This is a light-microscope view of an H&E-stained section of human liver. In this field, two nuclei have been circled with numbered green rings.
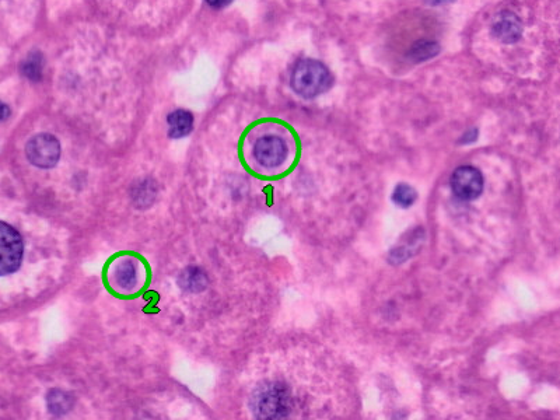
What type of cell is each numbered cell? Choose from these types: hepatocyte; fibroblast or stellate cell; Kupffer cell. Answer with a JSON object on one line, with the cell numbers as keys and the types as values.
{"1": "hepatocyte", "2": "Kupffer cell"}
